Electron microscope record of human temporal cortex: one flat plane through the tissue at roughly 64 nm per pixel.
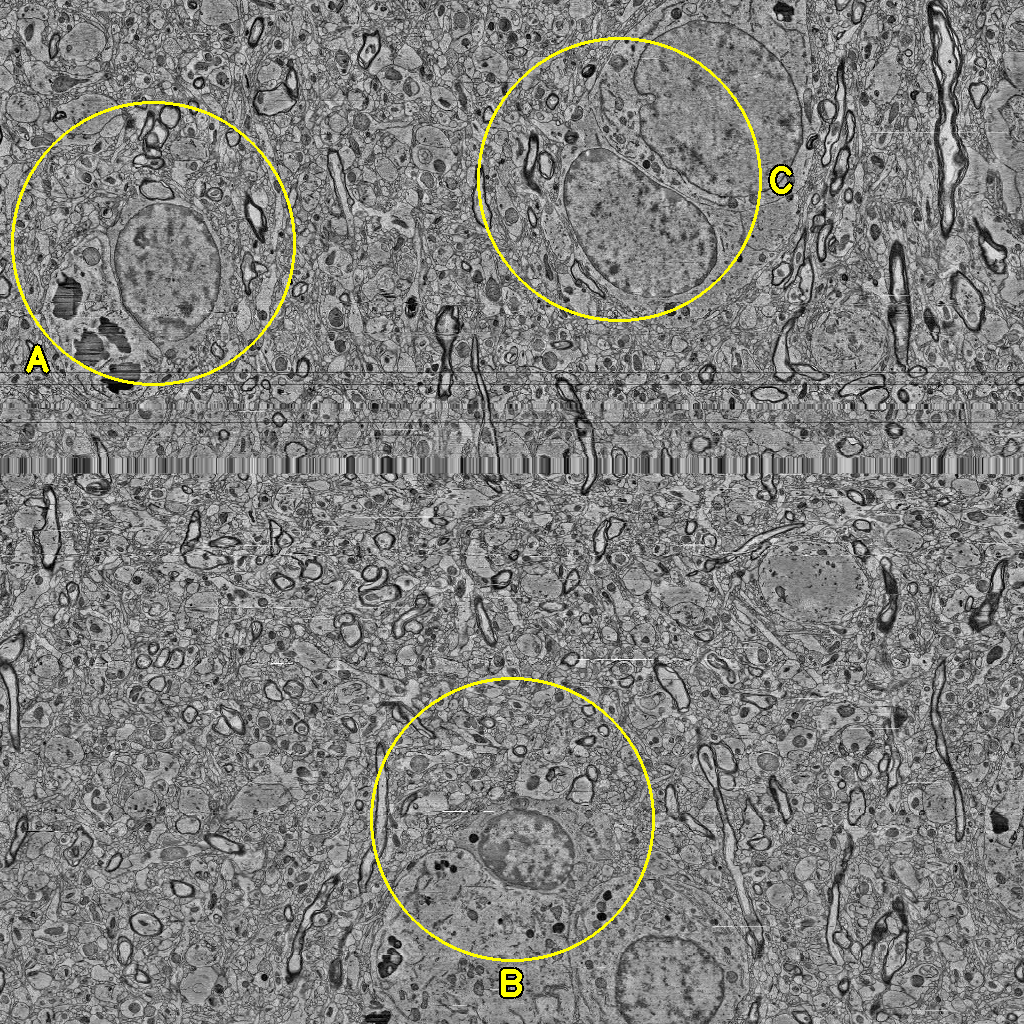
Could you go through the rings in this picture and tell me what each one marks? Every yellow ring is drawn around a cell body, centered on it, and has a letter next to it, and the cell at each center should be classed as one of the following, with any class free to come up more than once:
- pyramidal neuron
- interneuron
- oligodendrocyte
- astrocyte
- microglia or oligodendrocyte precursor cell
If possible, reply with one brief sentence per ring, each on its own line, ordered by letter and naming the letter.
The cell centered in ring A is an oligodendrocyte.
The cell centered in ring B is an oligodendrocyte.
The cell centered in ring C is a microglial cell or oligodendrocyte precursor cell.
